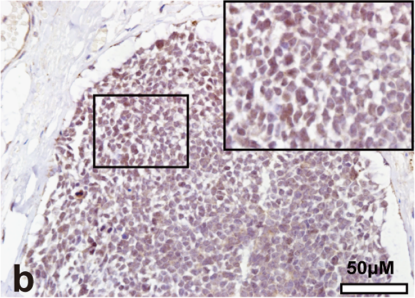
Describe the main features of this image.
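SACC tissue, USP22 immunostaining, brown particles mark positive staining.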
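This is a solid nest of tumour epithelial cells, packed tightly together with scant stroma between them. The cells are small, with oval to rounded nuclei that fill most of each cell and leave only a thin rim of cytoplasm. Nearly all nuclei are stained brown, and a paler brown tint is also seen in the cytoplasm. The nest is bordered at the top left by loose, pale connective tissue with few cells. No glandular lumina are seen within the sheet of cells.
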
